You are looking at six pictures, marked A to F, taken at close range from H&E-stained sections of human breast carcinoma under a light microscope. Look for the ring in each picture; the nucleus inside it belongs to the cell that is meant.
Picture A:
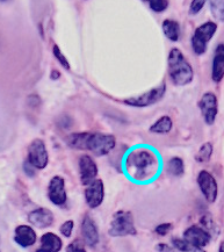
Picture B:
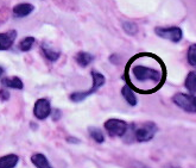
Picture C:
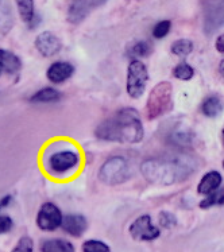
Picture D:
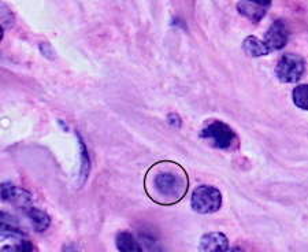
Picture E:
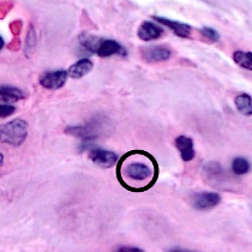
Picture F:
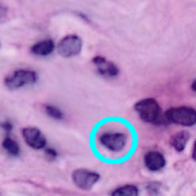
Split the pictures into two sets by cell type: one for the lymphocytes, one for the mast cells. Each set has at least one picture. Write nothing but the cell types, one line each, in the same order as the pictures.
lymphocyte
lymphocyte
lymphocyte
mast cell
mast cell
lymphocyte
